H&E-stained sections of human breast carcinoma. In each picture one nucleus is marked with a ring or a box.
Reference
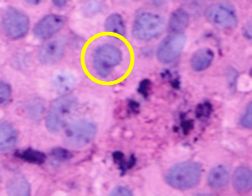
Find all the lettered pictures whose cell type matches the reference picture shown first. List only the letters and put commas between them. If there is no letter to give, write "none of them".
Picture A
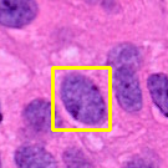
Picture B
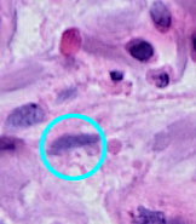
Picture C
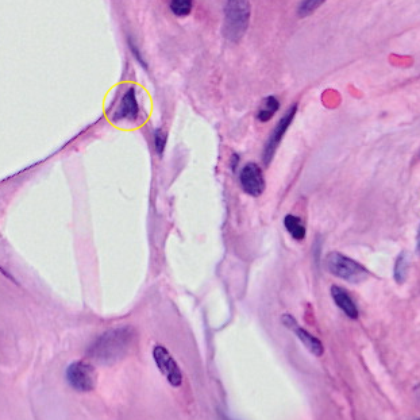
A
